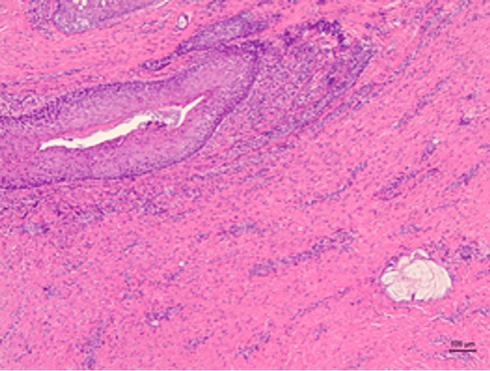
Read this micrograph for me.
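A tract within dense pink fibrous tissue is lined by thick keratinized stratified squamous epithelium, with a narrow slit-like lumen containing pale flaky material. Around the epithelium and in streaks through the stroma lie dense collections of small dark-nucleated inflammatory cells.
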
